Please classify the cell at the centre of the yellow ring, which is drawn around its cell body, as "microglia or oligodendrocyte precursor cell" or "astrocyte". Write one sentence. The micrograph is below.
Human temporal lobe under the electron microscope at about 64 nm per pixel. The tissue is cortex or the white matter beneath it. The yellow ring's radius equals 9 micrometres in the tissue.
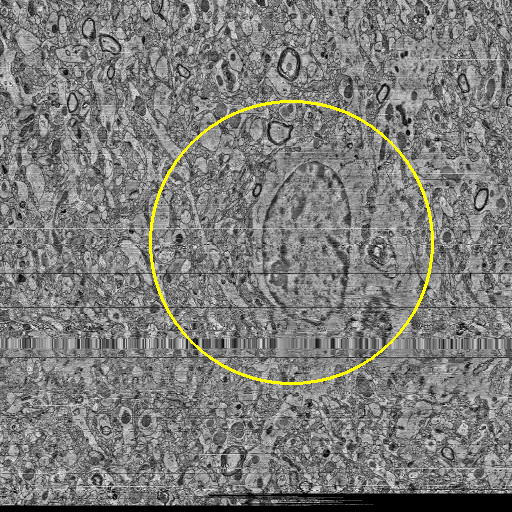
The cell at the ring's centre is classified as an astrocyte.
